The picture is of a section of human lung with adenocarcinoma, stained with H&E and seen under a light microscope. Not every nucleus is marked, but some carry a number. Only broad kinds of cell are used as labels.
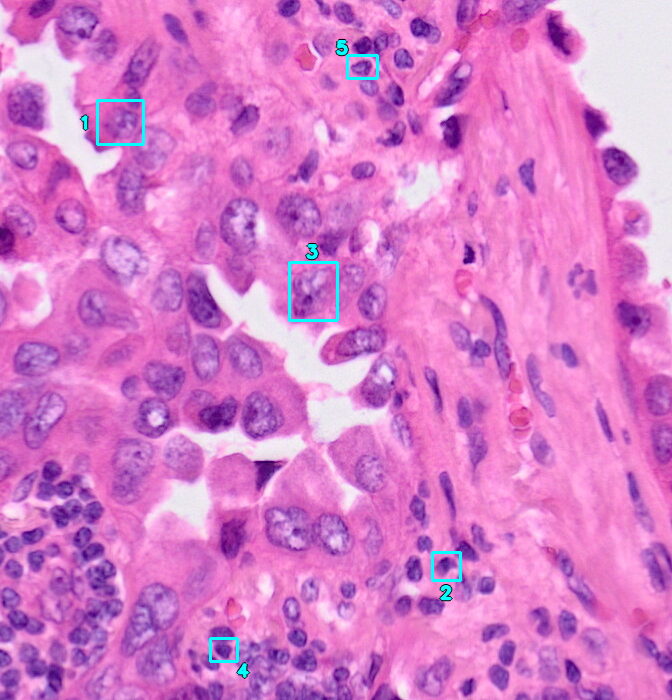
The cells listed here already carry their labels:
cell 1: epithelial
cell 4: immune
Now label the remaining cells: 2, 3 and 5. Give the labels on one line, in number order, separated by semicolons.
immune; epithelial; immune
